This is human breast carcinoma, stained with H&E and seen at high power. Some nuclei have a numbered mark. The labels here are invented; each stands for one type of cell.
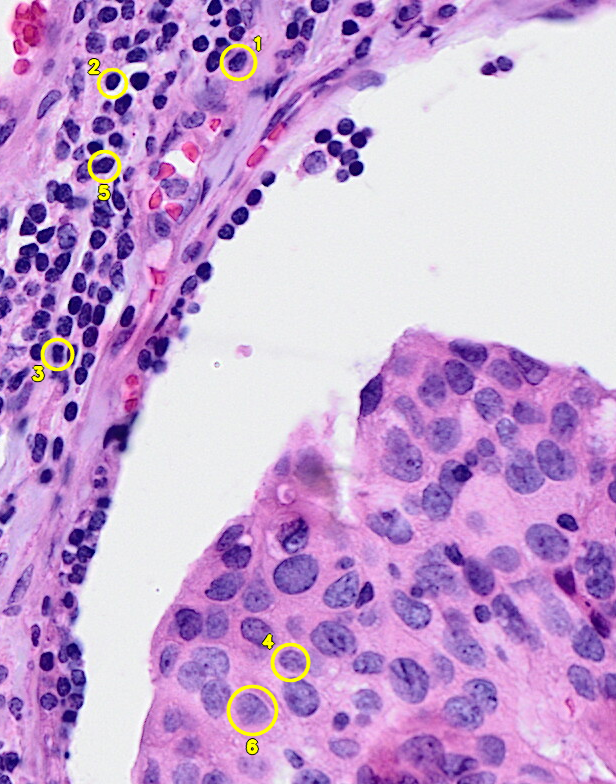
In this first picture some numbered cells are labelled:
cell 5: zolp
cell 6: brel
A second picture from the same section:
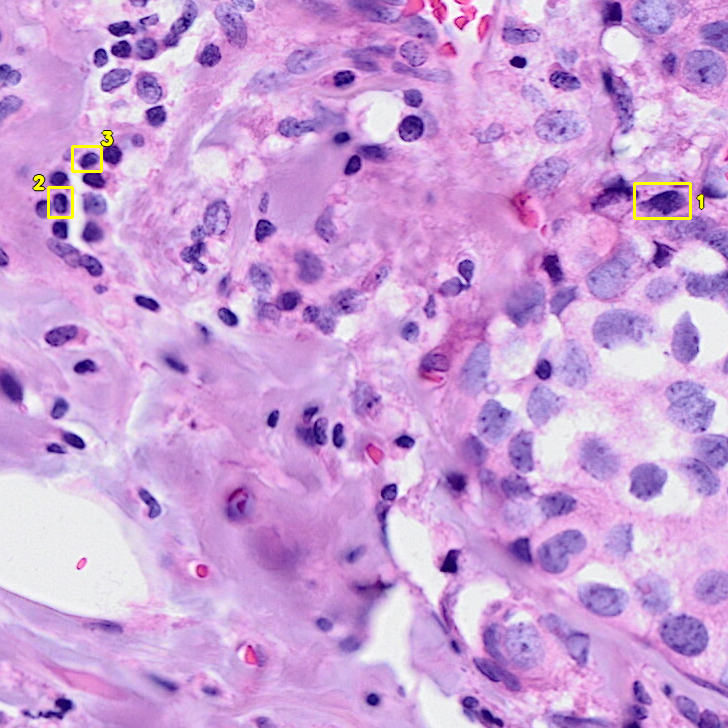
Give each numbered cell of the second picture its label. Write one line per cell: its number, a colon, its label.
1: brel
2: zolp
3: zolp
